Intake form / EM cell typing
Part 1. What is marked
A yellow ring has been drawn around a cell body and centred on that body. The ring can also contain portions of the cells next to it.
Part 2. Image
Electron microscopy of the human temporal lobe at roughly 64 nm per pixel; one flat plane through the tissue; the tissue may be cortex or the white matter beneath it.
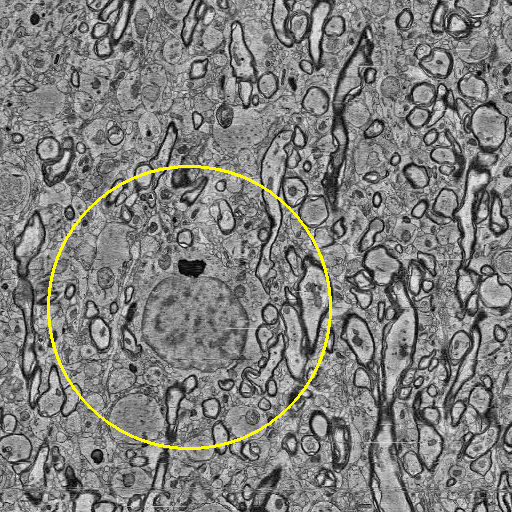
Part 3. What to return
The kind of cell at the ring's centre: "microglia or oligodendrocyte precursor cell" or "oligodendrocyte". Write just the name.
oligodendrocyte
